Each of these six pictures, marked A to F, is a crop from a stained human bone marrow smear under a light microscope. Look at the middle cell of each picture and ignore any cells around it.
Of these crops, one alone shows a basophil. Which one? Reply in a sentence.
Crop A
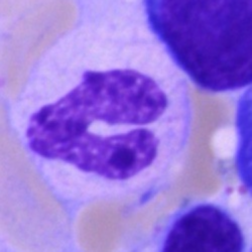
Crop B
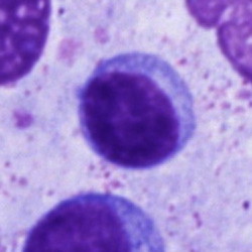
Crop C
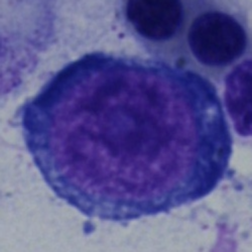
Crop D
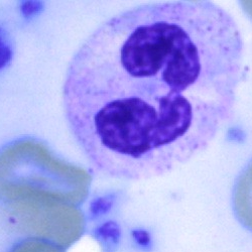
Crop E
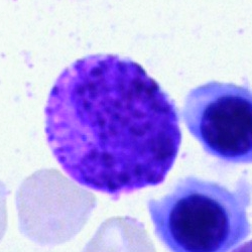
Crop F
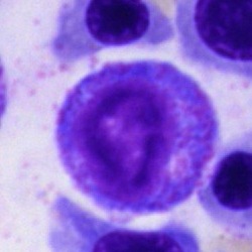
Look at crop E; that is the one with a basophil in its center.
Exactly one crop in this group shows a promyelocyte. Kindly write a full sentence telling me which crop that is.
In the set of crops, crop F is the one that contains a promyelocyte.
